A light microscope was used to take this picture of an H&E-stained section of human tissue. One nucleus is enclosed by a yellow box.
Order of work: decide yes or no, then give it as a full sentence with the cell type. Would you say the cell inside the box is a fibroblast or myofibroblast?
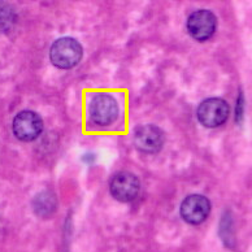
No, the cell inside the box is a hepatocyte; calling it a fibroblast or myofibroblast would be wrong.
